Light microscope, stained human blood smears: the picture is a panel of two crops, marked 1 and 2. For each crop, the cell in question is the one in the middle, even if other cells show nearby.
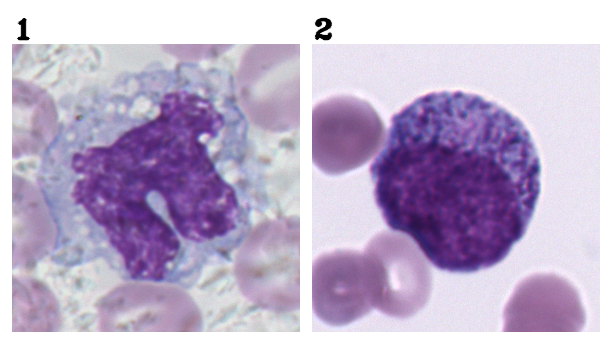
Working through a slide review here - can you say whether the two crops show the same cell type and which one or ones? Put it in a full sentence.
No, crop 1 gives us a monocyte and crop 2 gives us a myelocyte.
